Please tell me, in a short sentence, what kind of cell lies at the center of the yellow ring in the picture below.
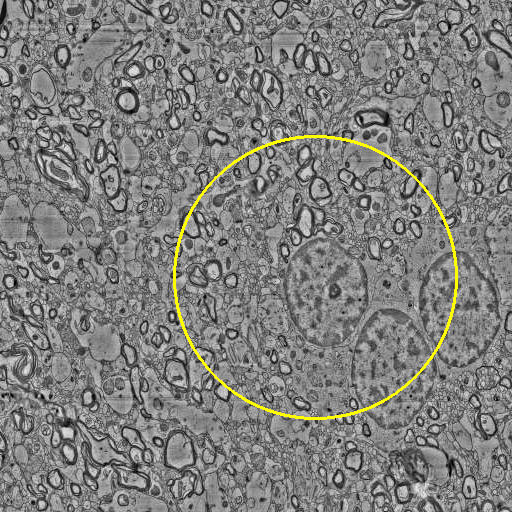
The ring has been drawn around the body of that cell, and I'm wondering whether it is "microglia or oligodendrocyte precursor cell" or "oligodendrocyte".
The cell at the center of the ring is an oligodendrocyte.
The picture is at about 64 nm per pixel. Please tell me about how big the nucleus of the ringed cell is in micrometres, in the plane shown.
In this plane, the nucleus of the cell at the centre of the ring measures about 7 by 5 micrometres.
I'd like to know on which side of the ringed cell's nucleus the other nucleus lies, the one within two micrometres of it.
The second nucleus is to the lower right of it.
